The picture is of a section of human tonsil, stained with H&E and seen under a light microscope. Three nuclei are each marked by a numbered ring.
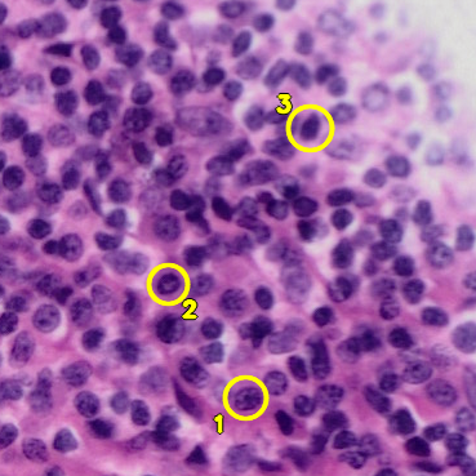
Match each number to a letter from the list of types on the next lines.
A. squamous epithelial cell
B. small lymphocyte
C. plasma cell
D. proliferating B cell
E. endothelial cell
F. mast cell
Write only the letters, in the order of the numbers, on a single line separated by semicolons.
C; C; B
